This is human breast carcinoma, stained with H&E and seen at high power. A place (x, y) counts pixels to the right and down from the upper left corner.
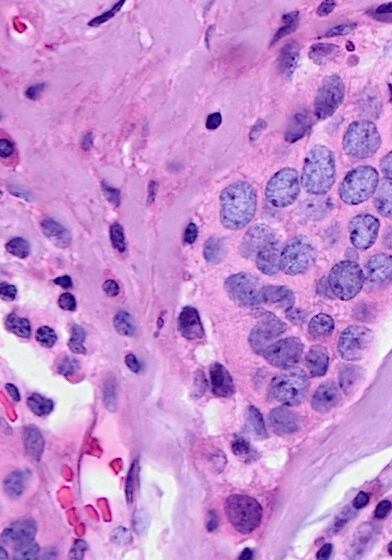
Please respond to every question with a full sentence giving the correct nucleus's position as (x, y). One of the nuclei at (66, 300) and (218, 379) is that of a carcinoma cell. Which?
It is the nucleus at (218, 379) that forms part of a carcinoma cell.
